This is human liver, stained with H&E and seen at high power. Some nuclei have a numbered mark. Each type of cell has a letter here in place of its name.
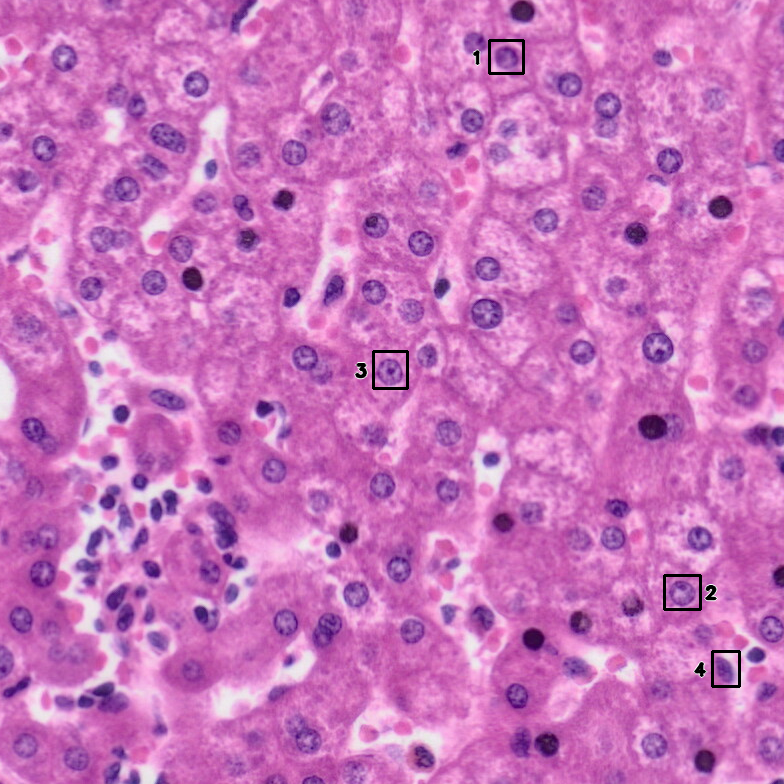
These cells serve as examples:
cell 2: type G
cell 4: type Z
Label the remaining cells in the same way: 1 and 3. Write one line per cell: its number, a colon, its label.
1: type G
3: type G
